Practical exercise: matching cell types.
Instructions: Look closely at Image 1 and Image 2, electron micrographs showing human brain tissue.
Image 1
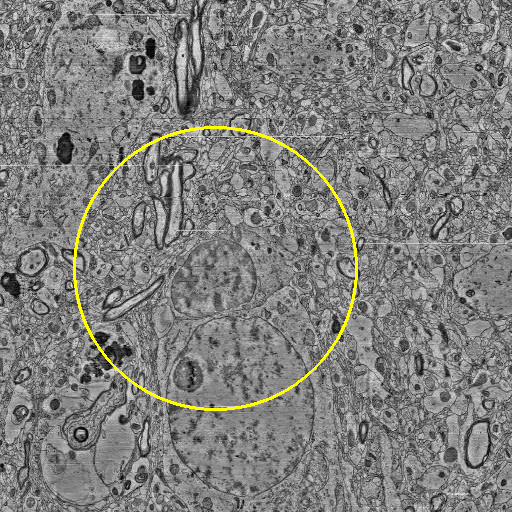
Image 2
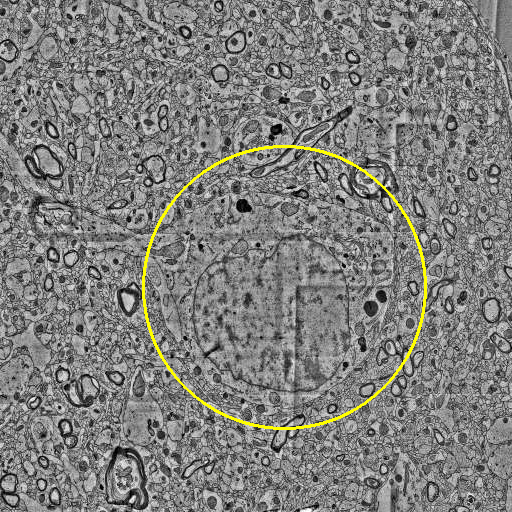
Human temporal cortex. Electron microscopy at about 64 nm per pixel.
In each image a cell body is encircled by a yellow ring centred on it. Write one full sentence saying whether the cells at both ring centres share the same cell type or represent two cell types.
Across Image 1 and Image 2, the cells at the ring centres represent two cell types.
